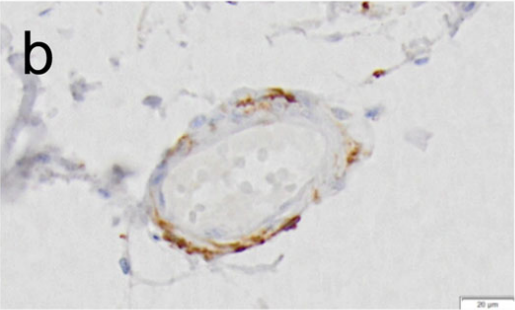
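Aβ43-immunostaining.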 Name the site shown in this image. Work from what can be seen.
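The vessel lies among thin, loose strands of connective tissue. No dense brain tissue surrounds the vessel. That points to this answer: leptomeningeal.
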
